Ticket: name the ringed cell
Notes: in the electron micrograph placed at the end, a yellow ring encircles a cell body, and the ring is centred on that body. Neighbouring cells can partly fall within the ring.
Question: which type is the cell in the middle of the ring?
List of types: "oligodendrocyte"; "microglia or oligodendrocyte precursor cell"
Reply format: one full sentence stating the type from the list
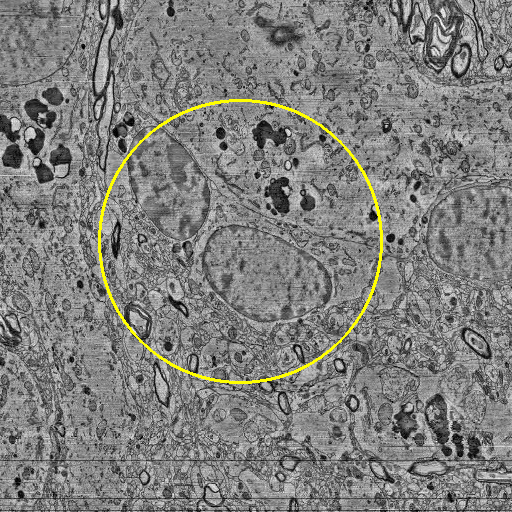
The cell sitting at the centre of the yellow ring is a microglial cell or oligodendrocyte precursor cell.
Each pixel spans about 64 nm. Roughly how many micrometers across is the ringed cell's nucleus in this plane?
The nucleus measures about 8 by 6 micrometres, so it is clearly longer than it is wide in this plane.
